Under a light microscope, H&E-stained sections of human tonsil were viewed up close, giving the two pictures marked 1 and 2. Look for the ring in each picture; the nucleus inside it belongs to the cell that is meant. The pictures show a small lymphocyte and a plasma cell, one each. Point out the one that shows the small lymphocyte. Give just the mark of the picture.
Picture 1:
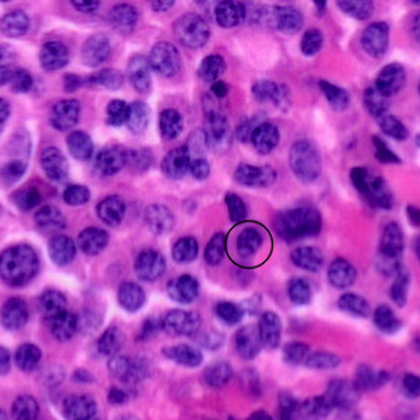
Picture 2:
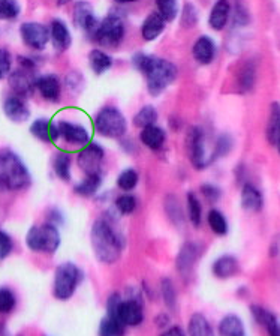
2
